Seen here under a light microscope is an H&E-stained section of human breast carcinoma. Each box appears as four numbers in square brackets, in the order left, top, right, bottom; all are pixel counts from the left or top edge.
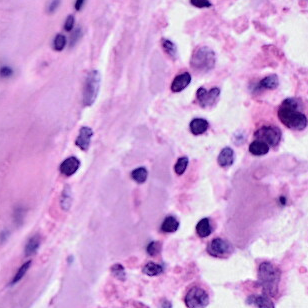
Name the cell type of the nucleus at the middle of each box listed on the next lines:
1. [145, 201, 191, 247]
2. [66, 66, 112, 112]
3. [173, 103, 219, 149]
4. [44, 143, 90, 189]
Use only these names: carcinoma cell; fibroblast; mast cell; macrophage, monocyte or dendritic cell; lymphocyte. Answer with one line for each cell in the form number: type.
1: lymphocyte
2: fibroblast
3: lymphocyte
4: lymphocyte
